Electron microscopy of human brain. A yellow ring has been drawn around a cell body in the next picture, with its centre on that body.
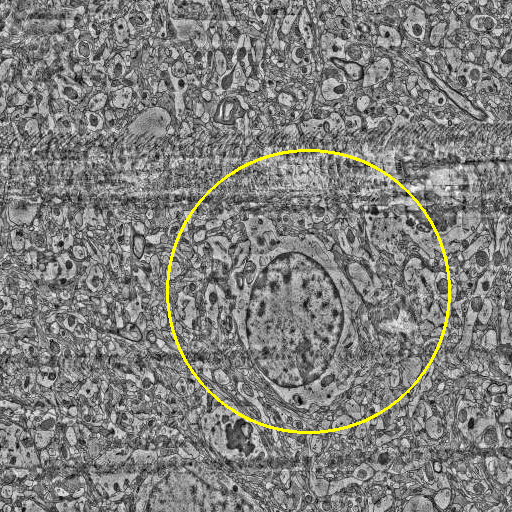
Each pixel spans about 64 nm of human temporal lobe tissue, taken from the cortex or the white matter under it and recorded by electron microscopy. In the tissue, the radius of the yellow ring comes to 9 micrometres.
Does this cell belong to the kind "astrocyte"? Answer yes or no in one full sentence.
Yes, the ringed cell in this picture, sitting at the ring's centre, is of that kind.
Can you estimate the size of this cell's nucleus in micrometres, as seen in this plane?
In this plane, roughly 9 by 6 micrometres.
